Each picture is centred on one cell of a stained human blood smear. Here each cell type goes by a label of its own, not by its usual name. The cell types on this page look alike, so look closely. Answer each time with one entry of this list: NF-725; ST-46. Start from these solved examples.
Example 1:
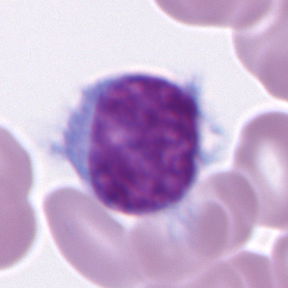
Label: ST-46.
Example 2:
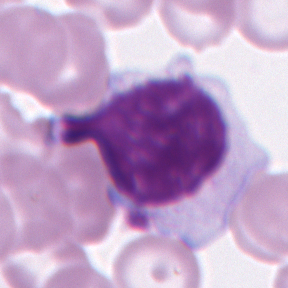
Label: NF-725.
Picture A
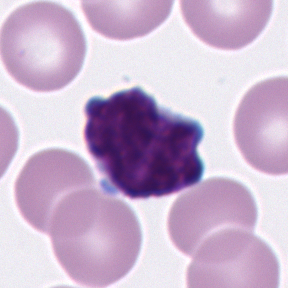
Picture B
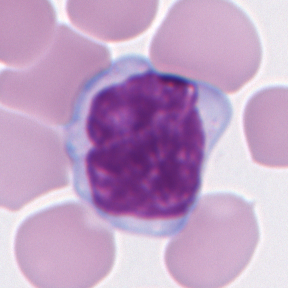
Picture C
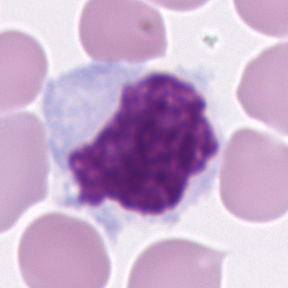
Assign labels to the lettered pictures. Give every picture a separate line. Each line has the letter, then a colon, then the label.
A: NF-725.
B: NF-725.
C: ST-46.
